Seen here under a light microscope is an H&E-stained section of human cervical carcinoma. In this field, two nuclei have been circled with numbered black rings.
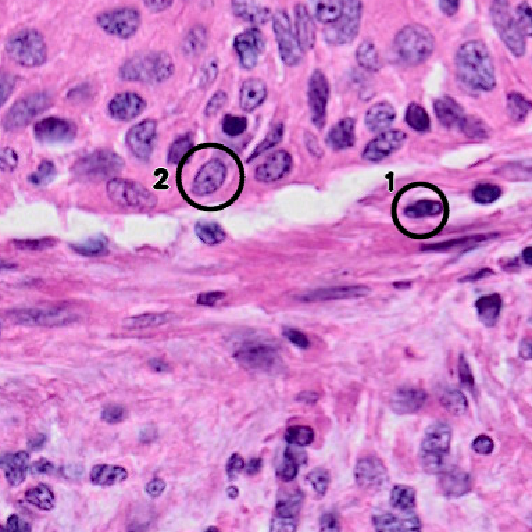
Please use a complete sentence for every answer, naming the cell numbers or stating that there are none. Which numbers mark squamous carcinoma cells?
Cell 2 is a squamous carcinoma cell; every other numbered cell is something else.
